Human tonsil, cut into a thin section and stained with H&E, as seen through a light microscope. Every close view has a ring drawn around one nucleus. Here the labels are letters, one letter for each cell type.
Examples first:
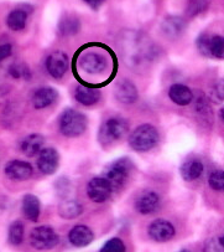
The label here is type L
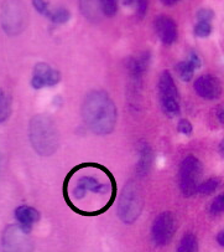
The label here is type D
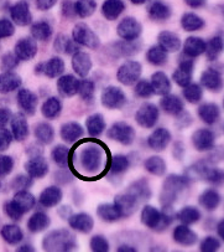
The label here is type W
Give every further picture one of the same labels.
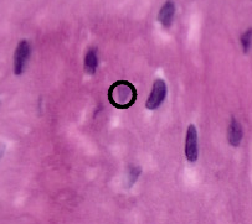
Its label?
type D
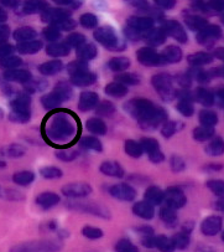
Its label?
type L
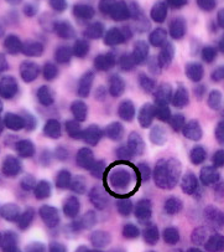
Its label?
type W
